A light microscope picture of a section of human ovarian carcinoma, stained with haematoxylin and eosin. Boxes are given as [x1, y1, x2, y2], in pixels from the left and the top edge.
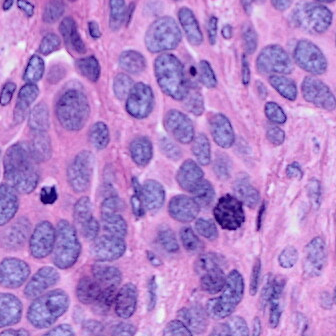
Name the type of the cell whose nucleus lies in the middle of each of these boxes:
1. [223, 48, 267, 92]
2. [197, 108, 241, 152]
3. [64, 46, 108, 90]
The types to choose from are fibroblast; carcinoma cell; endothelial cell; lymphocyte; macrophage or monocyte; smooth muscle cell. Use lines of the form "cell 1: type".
cell 1: fibroblast
cell 2: carcinoma cell
cell 3: carcinoma cell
